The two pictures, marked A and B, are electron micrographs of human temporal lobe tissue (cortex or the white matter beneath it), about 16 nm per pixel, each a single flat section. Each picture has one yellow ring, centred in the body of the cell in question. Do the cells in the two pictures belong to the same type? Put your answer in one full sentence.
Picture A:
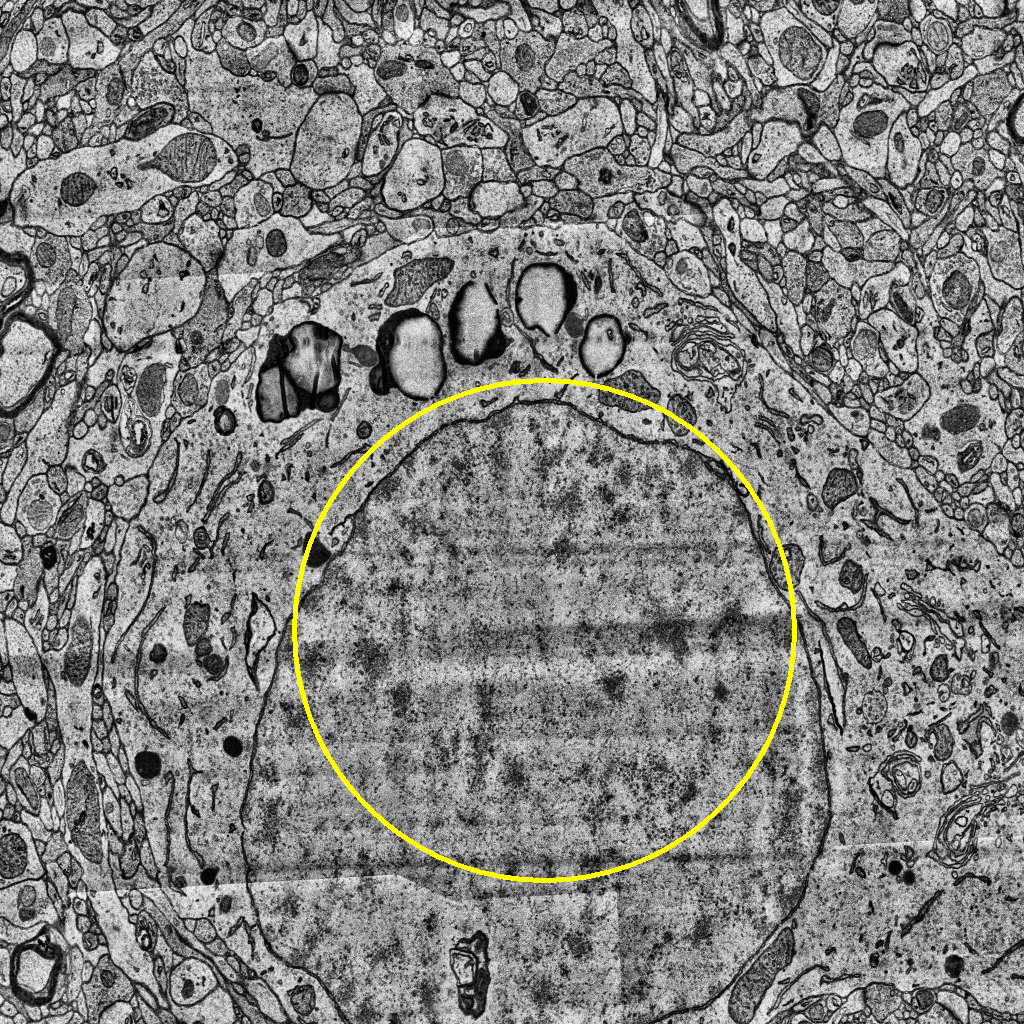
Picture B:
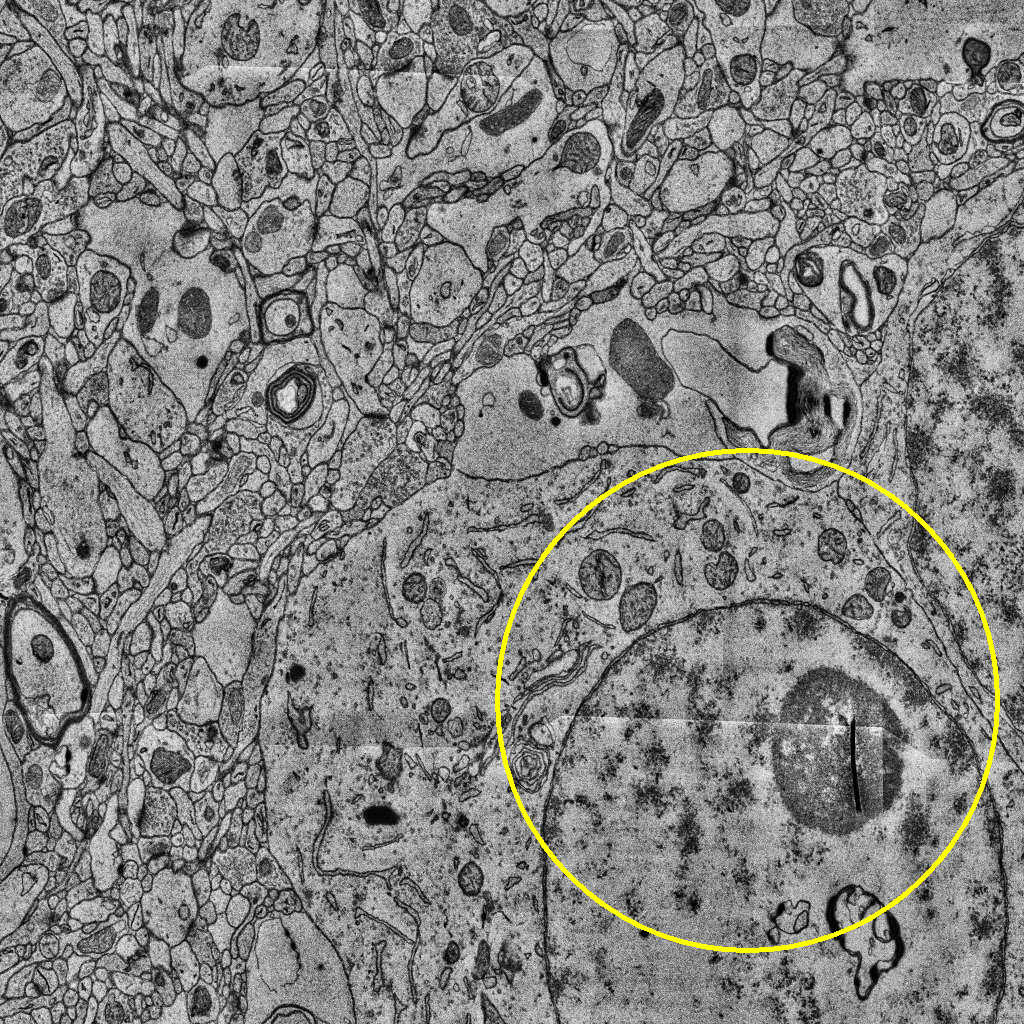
Yes; the cells in both pictures are pyramidal neurons.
